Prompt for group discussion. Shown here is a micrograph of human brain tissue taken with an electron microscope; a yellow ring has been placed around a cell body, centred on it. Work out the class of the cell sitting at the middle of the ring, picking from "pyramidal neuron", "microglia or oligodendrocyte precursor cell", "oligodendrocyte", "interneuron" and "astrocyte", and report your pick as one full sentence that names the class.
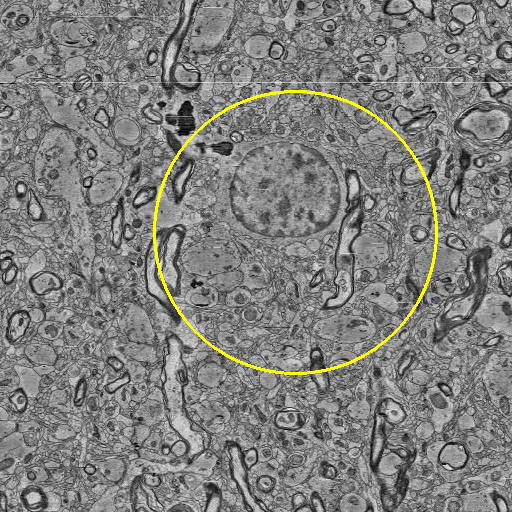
The cell sitting at the middle of the yellow ring is an oligodendrocyte.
